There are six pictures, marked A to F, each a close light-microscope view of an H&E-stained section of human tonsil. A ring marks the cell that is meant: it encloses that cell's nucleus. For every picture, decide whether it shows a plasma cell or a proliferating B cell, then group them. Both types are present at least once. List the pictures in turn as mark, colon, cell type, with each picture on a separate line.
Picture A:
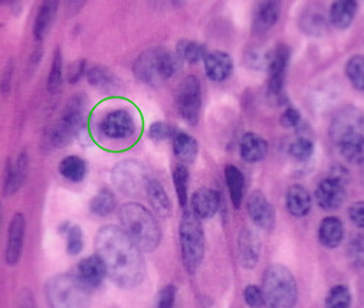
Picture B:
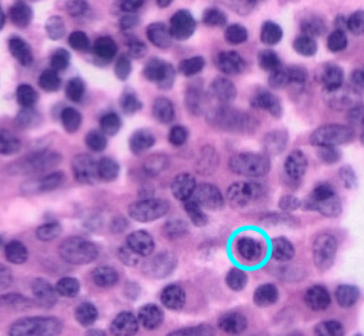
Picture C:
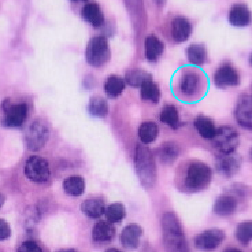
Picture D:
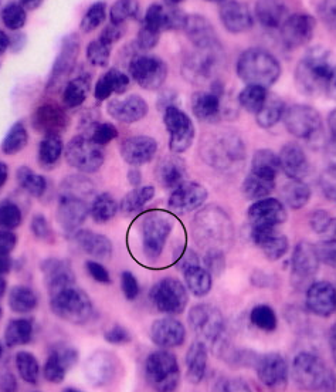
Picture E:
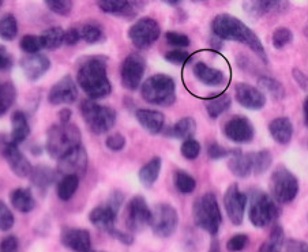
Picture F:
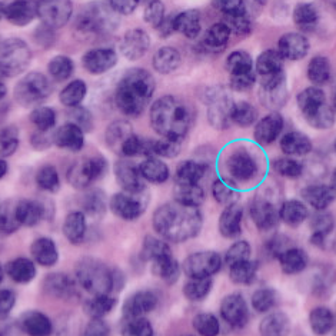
A: plasma cell
B: plasma cell
C: plasma cell
D: proliferating B cell
E: proliferating B cell
F: proliferating B cell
